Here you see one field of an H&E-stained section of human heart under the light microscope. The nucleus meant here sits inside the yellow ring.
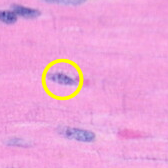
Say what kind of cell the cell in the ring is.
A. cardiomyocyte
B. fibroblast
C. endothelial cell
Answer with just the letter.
C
